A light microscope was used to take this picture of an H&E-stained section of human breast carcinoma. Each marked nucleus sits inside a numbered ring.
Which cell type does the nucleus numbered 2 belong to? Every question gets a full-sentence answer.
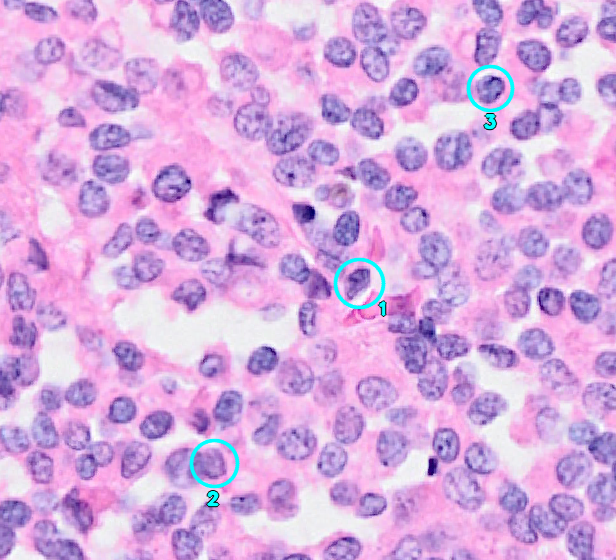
The cell assigned the number 2 is a carcinoma cell.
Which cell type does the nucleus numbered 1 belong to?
Among the marked cells, number 1 is an endothelial cell.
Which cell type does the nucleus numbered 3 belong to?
Recognised here as a carcinoma cell is the cell numbered 3.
